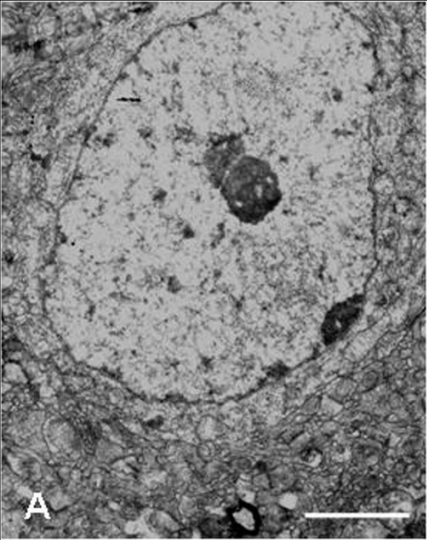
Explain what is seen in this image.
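The chromatin is finely and evenly dispersed, and a dense, rounded nucleolus lies within the nucleus. The surrounding cytoplasm is packed with membranous organelles.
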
